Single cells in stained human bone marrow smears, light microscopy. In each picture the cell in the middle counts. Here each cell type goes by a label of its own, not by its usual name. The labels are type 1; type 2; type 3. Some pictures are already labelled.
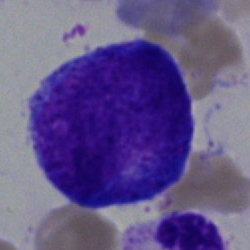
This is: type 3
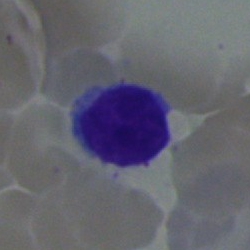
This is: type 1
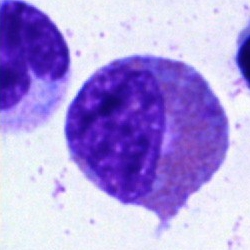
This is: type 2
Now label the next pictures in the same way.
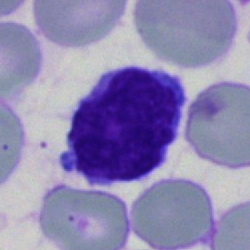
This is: type 1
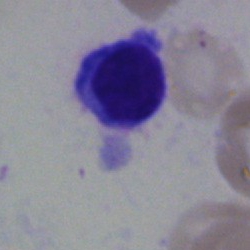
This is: type 1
